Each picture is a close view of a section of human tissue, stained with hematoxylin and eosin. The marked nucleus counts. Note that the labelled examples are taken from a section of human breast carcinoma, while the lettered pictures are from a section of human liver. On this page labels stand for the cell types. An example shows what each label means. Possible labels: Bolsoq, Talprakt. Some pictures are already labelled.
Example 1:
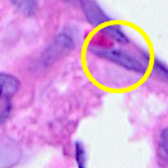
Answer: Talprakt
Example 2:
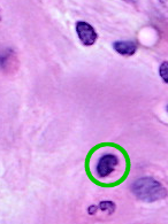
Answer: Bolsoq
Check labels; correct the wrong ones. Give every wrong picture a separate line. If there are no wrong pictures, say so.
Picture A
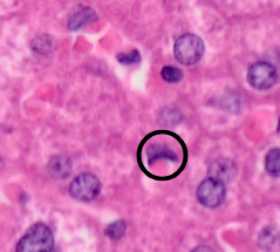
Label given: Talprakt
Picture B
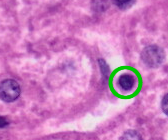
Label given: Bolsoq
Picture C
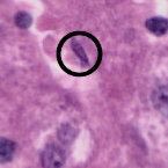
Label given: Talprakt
No label is wrong.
